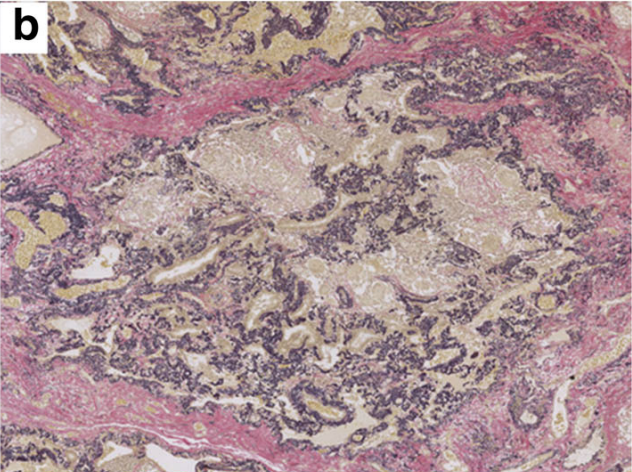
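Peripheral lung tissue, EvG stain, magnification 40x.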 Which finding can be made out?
Fibrotic collaps of the secondary pulmonary lobules.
